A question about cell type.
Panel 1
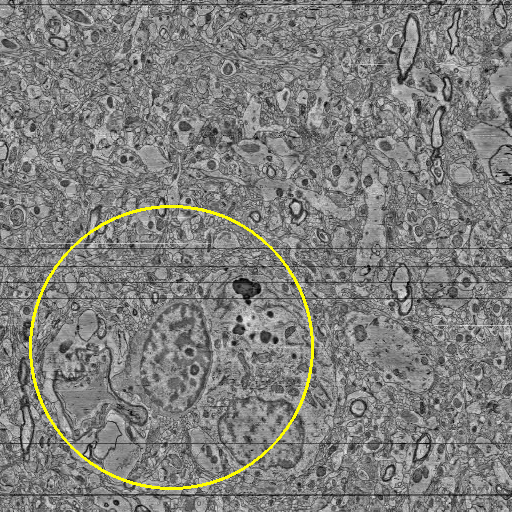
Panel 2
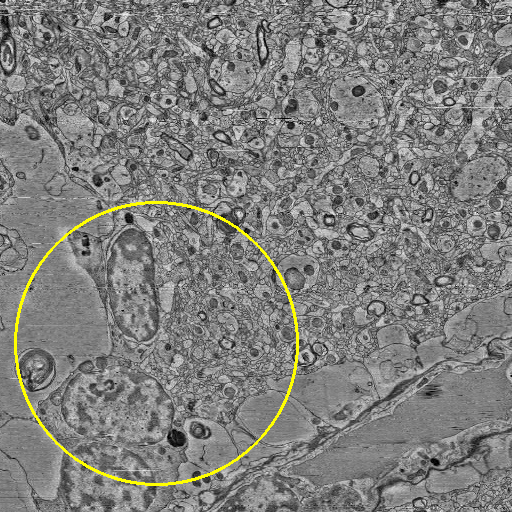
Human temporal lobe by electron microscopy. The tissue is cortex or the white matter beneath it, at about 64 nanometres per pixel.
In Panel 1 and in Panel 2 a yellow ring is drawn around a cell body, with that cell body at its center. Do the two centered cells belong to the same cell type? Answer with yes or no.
no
